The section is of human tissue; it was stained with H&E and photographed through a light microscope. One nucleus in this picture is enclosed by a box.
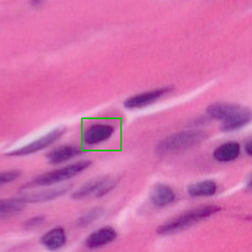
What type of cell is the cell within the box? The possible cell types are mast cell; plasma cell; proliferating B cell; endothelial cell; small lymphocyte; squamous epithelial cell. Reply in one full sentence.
At the level of cell identity, the cell within the box is a mast cell.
